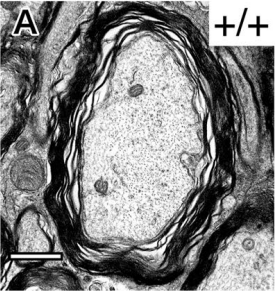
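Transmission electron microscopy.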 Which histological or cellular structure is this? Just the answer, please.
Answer: Axons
